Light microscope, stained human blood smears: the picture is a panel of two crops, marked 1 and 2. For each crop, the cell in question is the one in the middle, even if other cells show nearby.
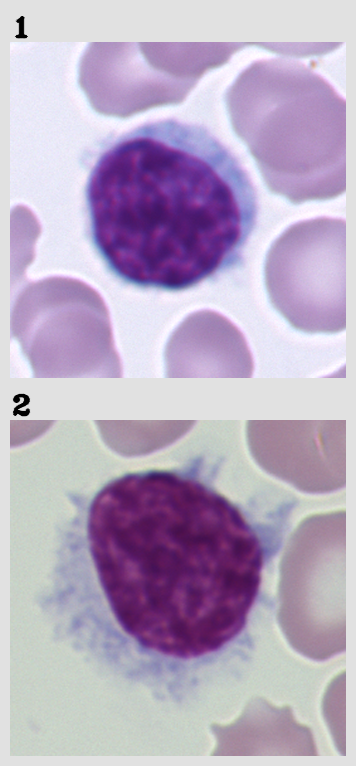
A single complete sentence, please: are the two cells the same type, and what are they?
Yes, hairy cells are the cells shown in both crops.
